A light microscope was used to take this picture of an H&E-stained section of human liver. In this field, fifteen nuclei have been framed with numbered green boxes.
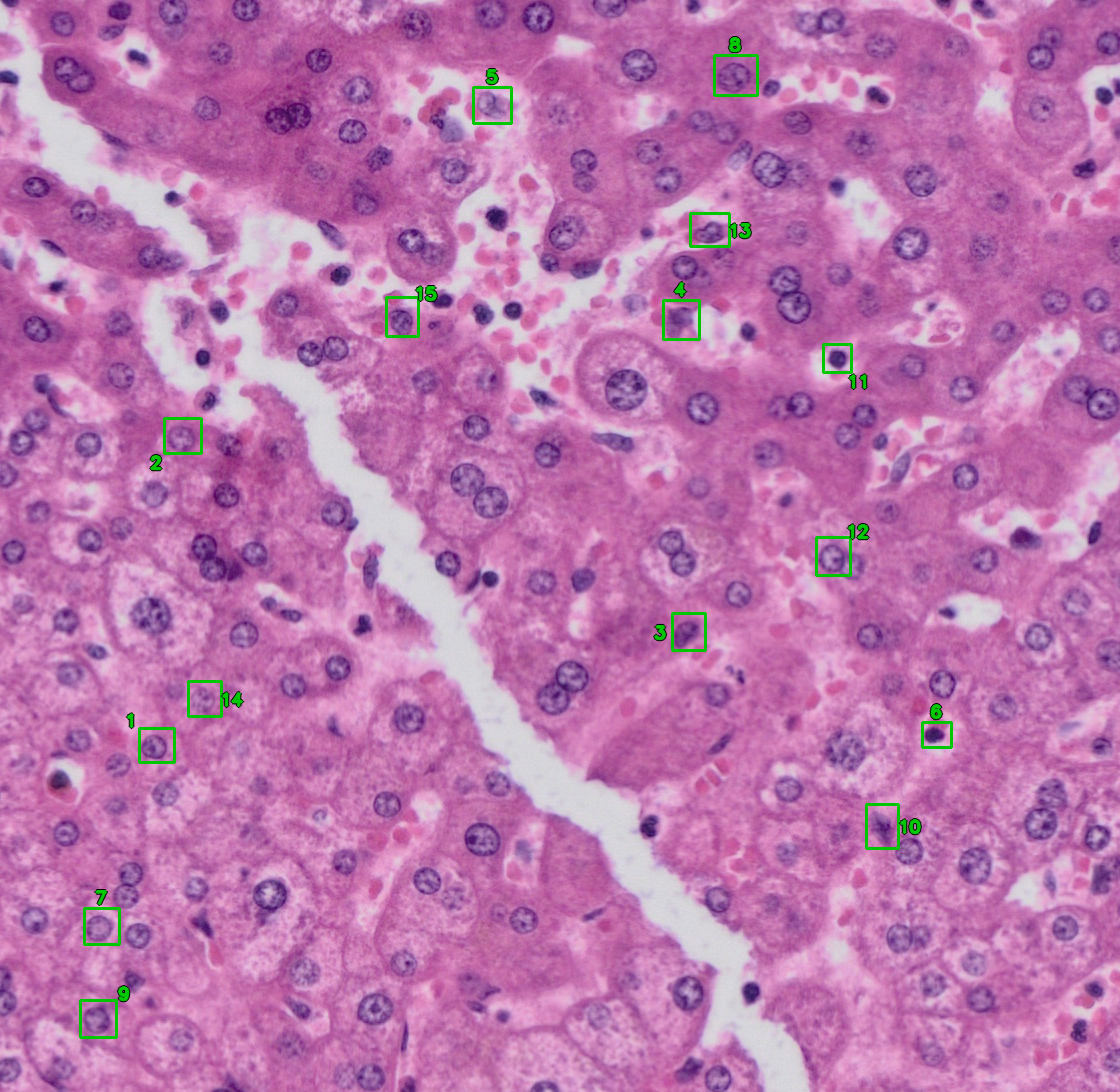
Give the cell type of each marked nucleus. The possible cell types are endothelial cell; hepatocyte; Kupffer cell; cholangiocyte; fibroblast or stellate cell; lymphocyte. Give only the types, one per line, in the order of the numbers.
hepatocyte
hepatocyte
Kupffer cell
endothelial cell
Kupffer cell
lymphocyte
hepatocyte
hepatocyte
hepatocyte
endothelial cell
lymphocyte
hepatocyte
Kupffer cell
hepatocyte
Kupffer cell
